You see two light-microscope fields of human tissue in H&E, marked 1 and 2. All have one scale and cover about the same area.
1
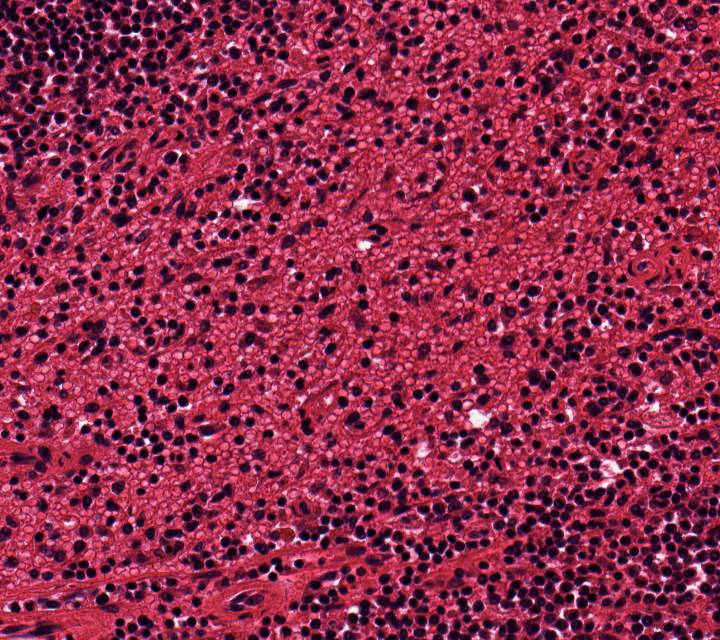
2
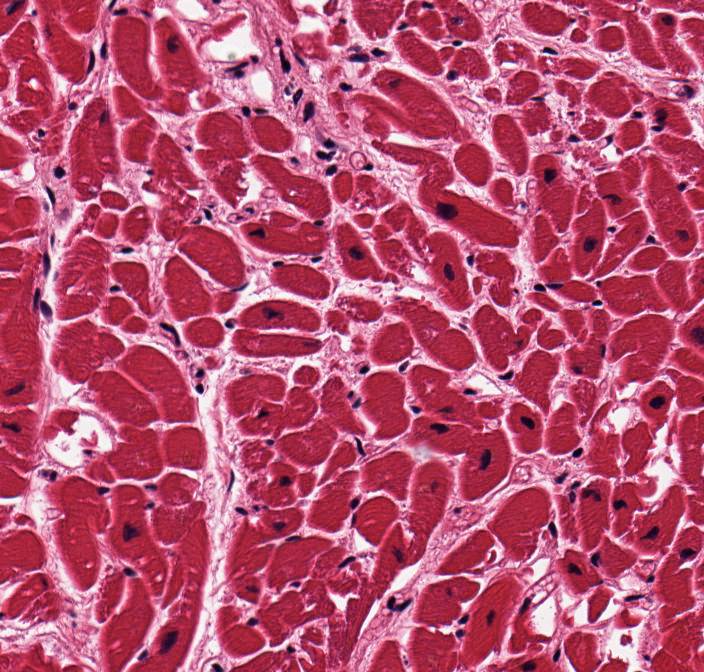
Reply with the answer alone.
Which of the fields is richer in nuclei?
1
